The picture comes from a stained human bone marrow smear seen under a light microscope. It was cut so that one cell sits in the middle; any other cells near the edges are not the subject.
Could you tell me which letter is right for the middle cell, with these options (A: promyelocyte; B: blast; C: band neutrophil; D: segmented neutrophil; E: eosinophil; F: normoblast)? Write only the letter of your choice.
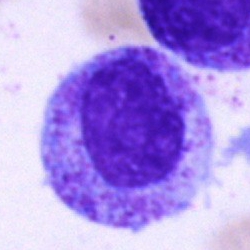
A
